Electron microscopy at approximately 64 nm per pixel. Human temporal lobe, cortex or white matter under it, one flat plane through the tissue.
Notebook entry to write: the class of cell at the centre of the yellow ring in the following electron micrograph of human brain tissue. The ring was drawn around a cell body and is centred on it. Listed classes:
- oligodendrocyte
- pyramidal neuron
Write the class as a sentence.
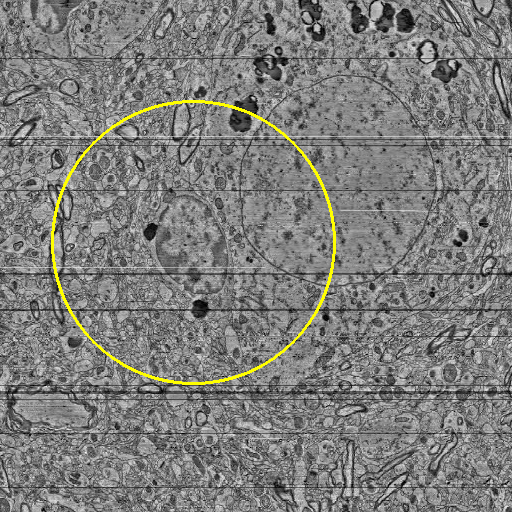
The yellow ring sits on an oligodendrocyte.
